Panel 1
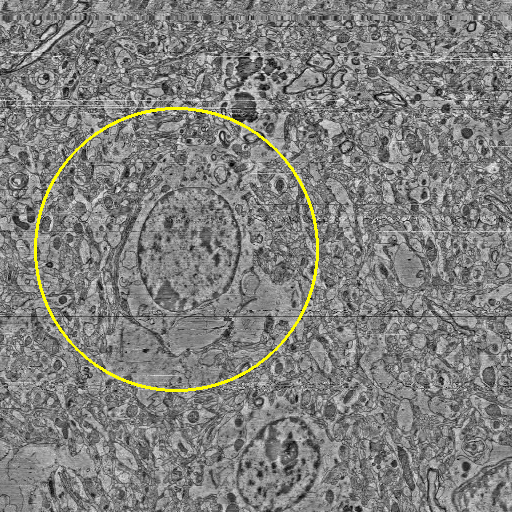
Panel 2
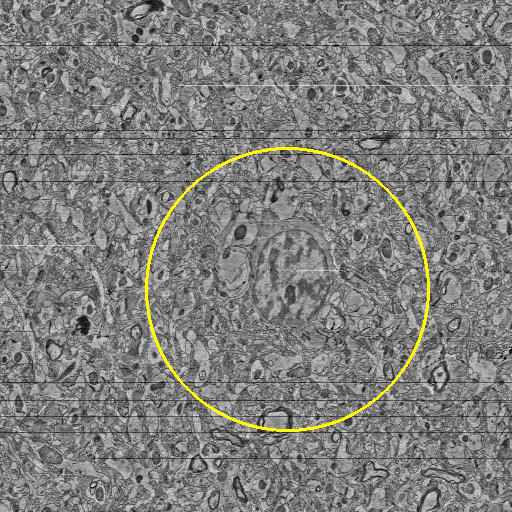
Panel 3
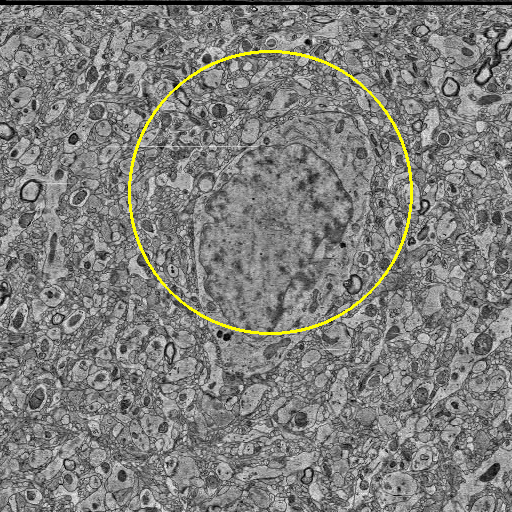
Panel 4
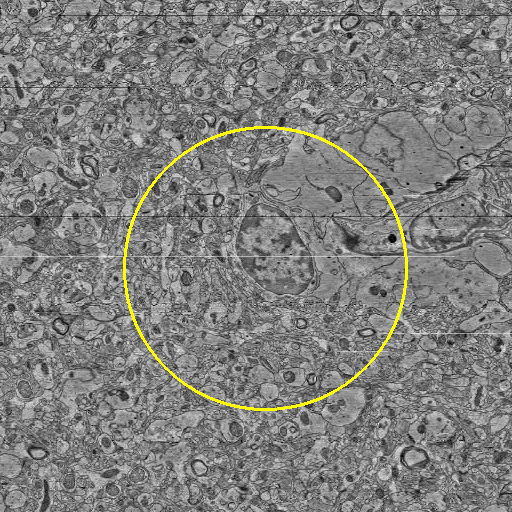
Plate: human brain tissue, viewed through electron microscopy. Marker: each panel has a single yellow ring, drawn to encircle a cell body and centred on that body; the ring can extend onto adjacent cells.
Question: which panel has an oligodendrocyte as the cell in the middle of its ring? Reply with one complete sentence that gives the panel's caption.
Panel 2 is where the requested cell sits at the centre of the ring.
